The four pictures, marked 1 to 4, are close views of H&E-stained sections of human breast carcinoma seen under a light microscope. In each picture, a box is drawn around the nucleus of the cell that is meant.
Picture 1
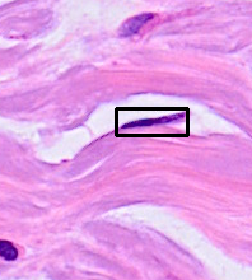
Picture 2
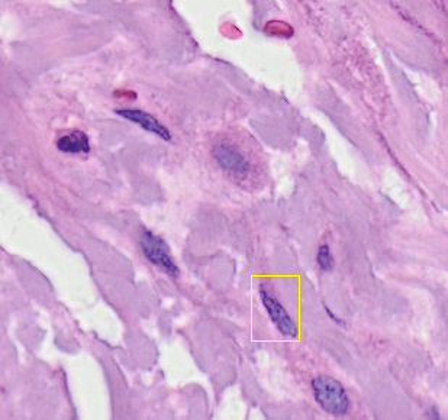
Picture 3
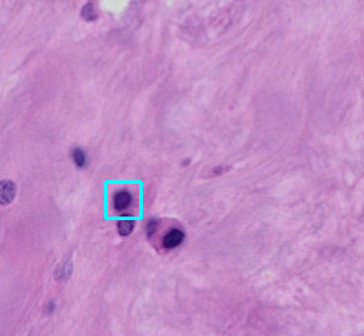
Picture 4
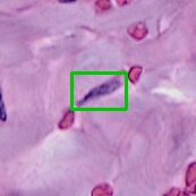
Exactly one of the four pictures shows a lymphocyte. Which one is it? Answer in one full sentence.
The cell in picture 3 is the lymphocyte.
